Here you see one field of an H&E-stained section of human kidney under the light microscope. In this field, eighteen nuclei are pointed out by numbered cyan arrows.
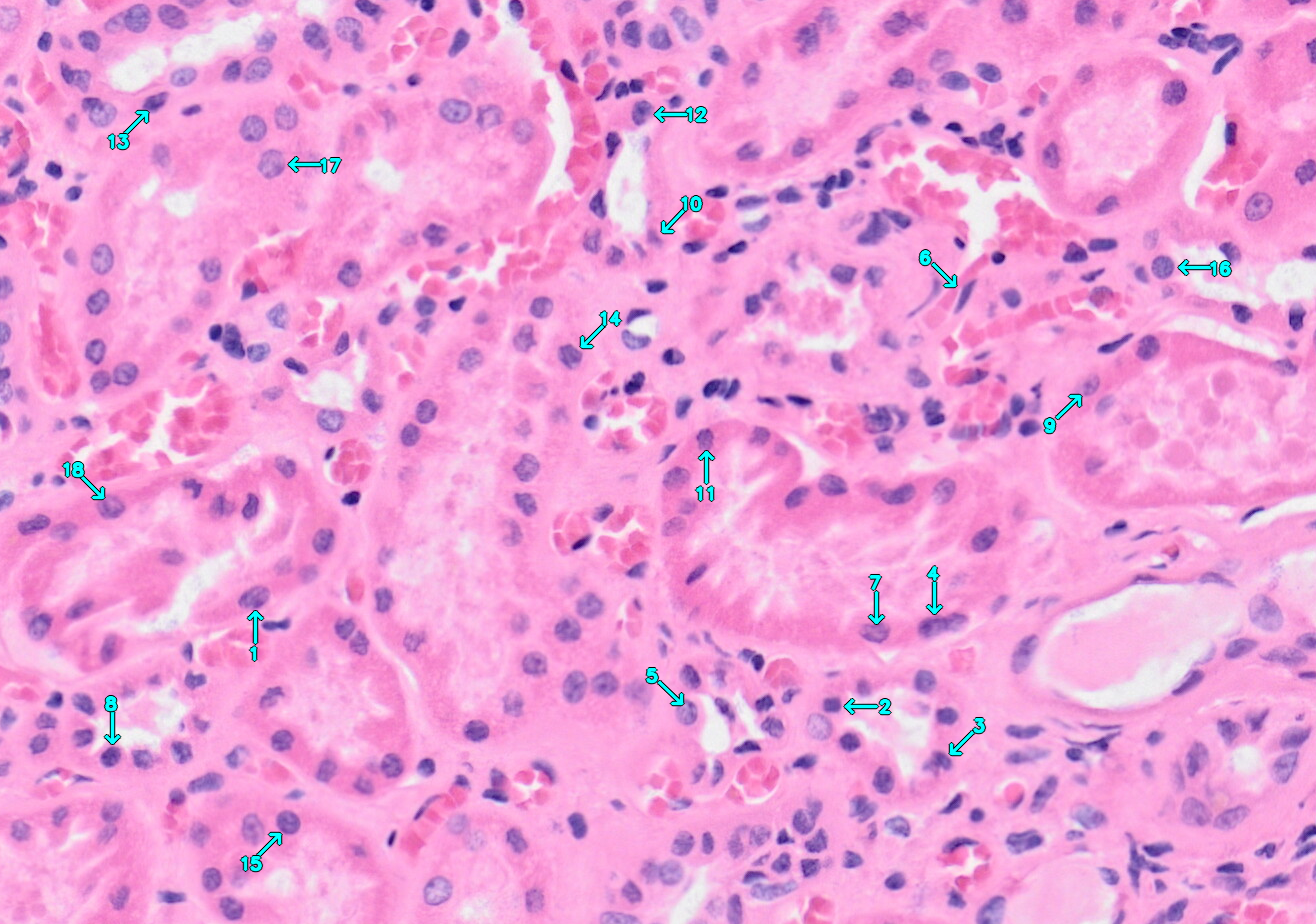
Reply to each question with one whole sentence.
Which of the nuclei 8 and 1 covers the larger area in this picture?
Of the two, number 1 is bigger and takes up about 1.5 times the area of number 8.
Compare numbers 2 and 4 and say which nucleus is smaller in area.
Number 2 is smaller, since number 4 takes up about 2 times as much area.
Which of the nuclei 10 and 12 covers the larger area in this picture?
Nucleus 12 is larger, with an area about 2 times that of nucleus 10.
